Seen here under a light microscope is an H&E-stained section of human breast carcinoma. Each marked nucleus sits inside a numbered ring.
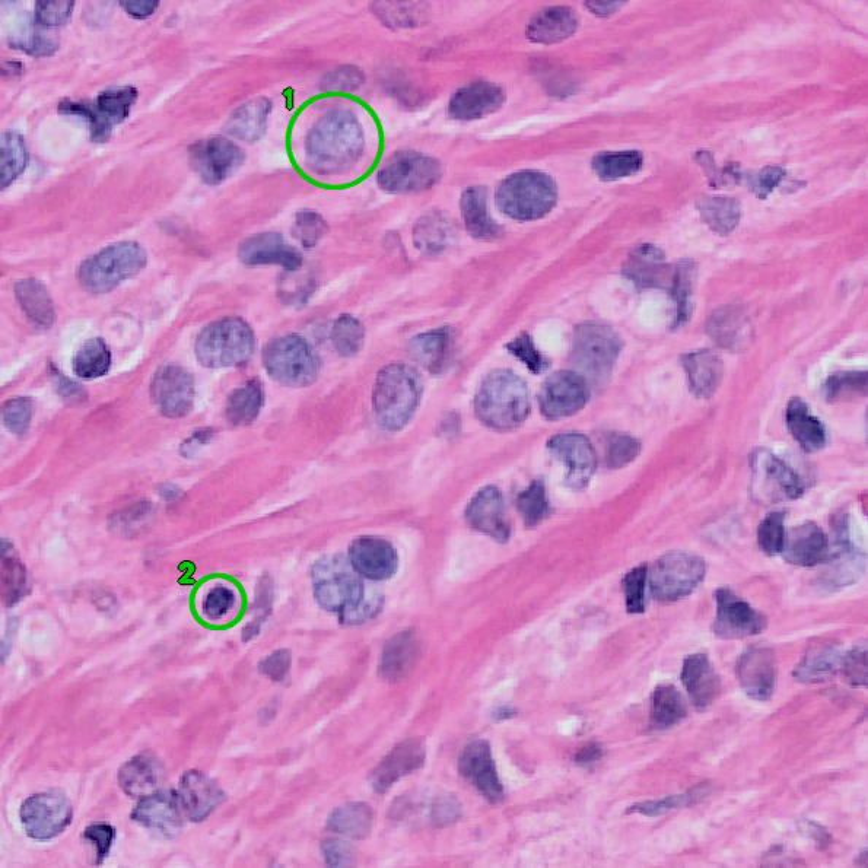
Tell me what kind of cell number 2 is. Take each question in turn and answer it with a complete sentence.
The marked cell bearing number 2 is a lymphocyte.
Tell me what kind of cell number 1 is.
The nucleus labelled 1 belongs to a carcinoma cell.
